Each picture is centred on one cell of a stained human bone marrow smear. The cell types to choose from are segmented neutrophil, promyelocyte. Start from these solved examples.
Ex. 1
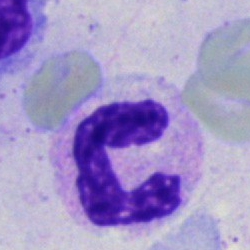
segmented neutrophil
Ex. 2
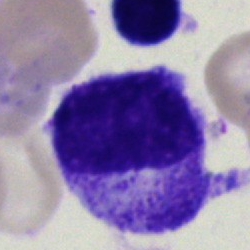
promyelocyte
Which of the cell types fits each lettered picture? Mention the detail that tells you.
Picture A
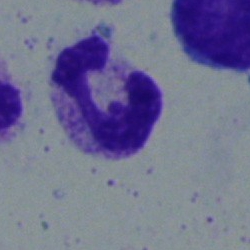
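segmented neutrophil: The nucleus is a thick curved band shaped like a horseshoe, with its open side facing upward.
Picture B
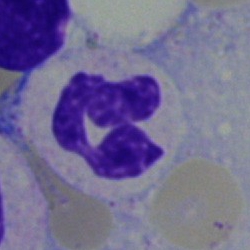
segmented neutrophil: The nucleus is a curved band bent into a C shape.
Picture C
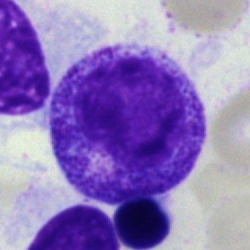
promyelocyte: The chromatin looks fine rather than coarsely clumped.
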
